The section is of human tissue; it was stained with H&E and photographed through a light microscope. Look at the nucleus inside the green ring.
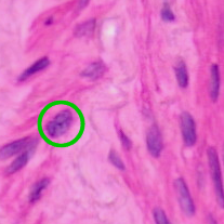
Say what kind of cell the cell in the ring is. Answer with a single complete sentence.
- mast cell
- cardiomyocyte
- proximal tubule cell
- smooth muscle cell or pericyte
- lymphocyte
In this tissue sample, the cell in the ring is a smooth muscle cell or pericyte.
